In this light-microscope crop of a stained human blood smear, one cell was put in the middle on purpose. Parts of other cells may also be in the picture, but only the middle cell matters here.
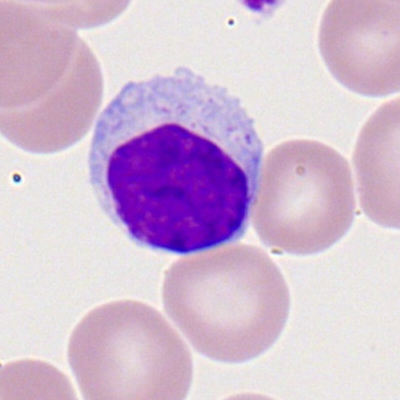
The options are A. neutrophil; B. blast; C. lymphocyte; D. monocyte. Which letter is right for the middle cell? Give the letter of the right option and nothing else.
C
